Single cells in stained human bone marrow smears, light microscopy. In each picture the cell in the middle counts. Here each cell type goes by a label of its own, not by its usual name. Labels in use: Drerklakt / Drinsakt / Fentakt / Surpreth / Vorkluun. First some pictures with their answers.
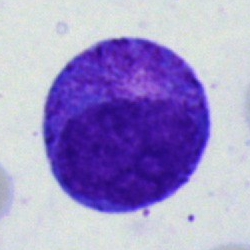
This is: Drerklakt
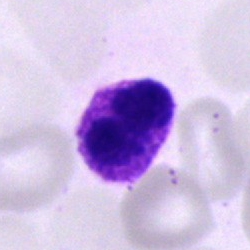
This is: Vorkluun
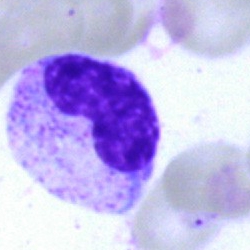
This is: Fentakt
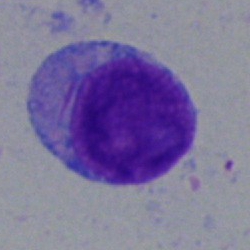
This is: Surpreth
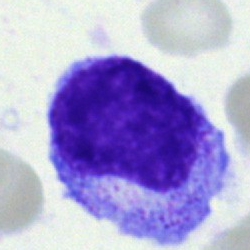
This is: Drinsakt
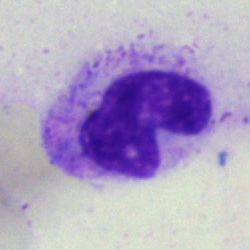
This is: Fentakt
